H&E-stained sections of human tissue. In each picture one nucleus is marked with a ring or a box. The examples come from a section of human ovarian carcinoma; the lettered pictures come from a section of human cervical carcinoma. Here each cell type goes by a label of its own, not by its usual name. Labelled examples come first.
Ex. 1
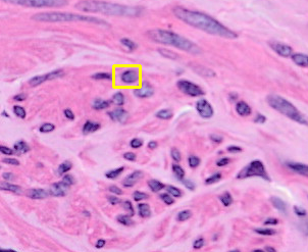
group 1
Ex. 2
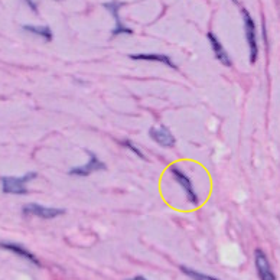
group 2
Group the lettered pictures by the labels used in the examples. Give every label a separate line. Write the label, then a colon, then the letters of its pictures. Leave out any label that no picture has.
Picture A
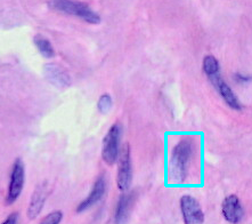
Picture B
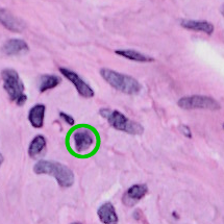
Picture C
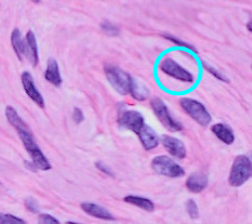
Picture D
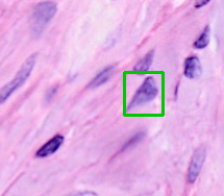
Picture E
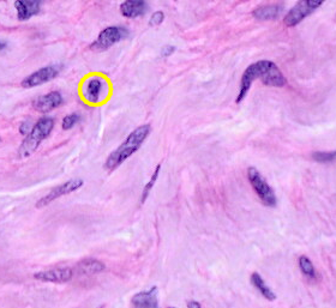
group 1: E
group 2: A, B, C, D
